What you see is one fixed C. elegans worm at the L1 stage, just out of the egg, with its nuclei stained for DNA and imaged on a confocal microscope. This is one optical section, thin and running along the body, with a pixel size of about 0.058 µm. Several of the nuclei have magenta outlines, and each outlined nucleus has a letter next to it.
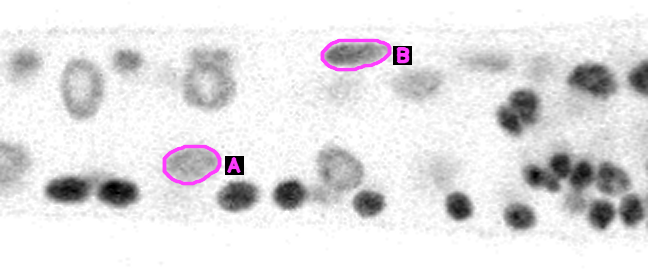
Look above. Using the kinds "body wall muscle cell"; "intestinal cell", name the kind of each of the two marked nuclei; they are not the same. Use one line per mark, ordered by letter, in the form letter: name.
A: intestinal cell
B: body wall muscle cell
